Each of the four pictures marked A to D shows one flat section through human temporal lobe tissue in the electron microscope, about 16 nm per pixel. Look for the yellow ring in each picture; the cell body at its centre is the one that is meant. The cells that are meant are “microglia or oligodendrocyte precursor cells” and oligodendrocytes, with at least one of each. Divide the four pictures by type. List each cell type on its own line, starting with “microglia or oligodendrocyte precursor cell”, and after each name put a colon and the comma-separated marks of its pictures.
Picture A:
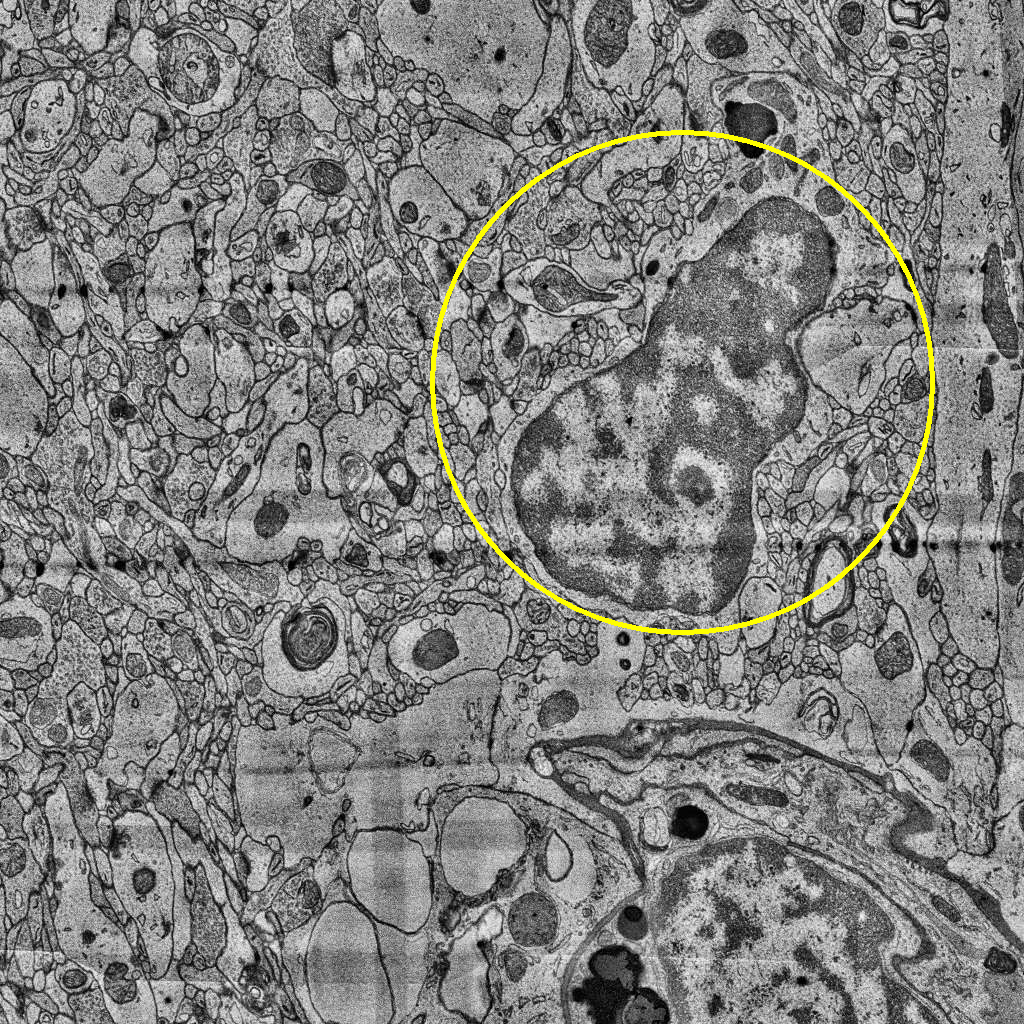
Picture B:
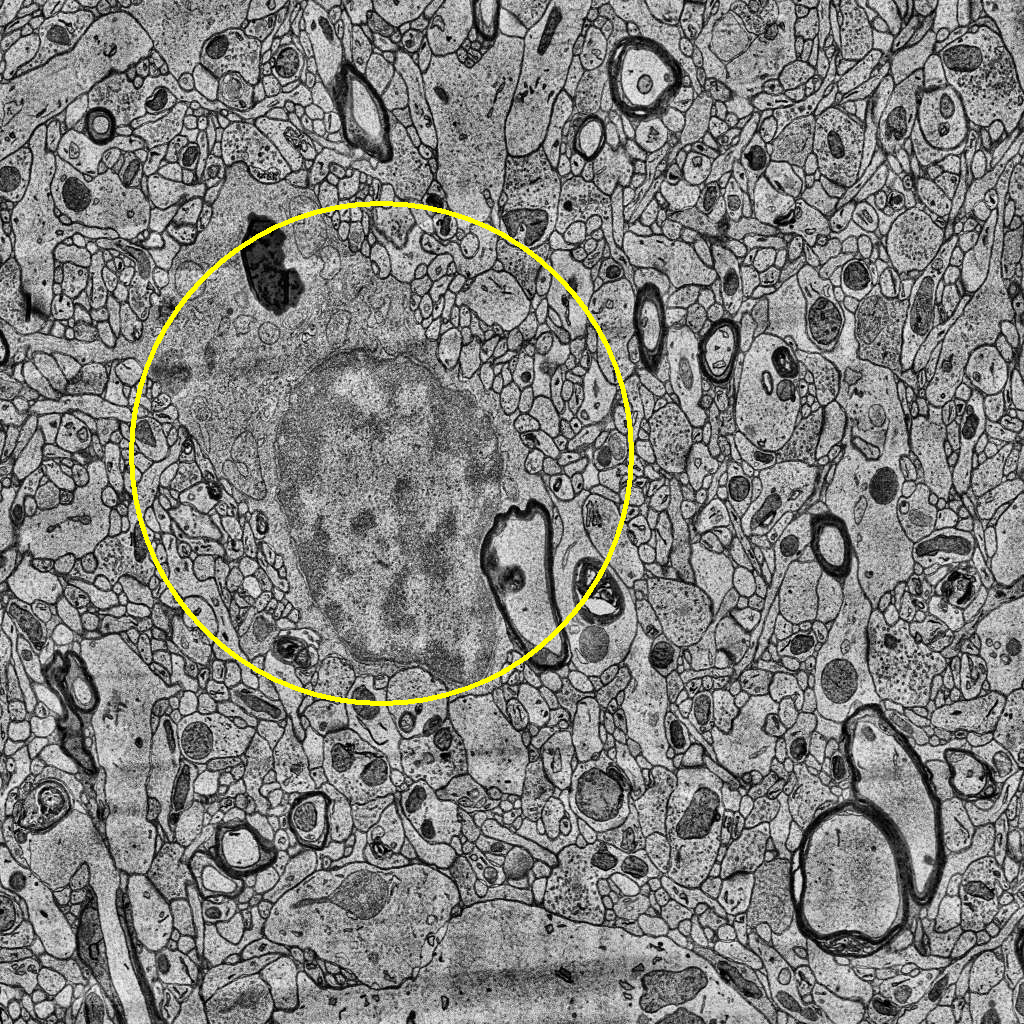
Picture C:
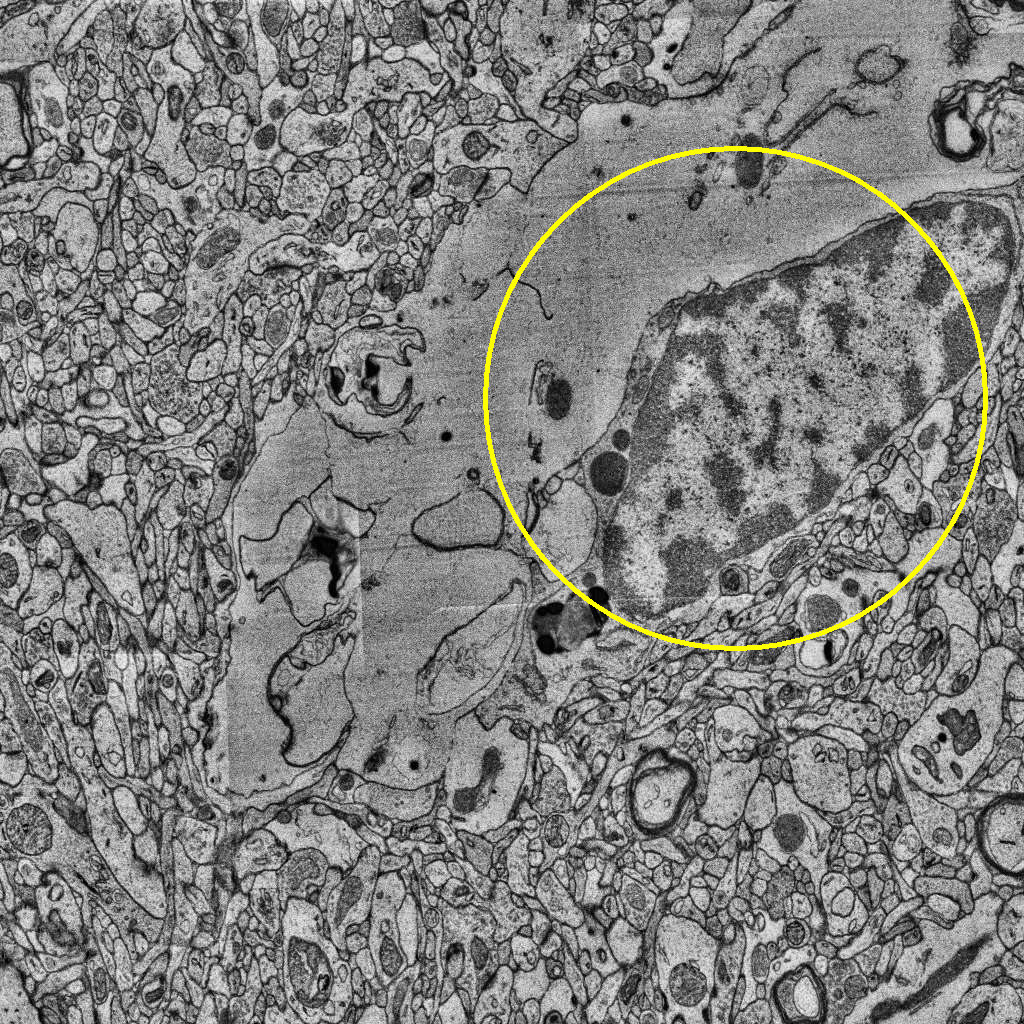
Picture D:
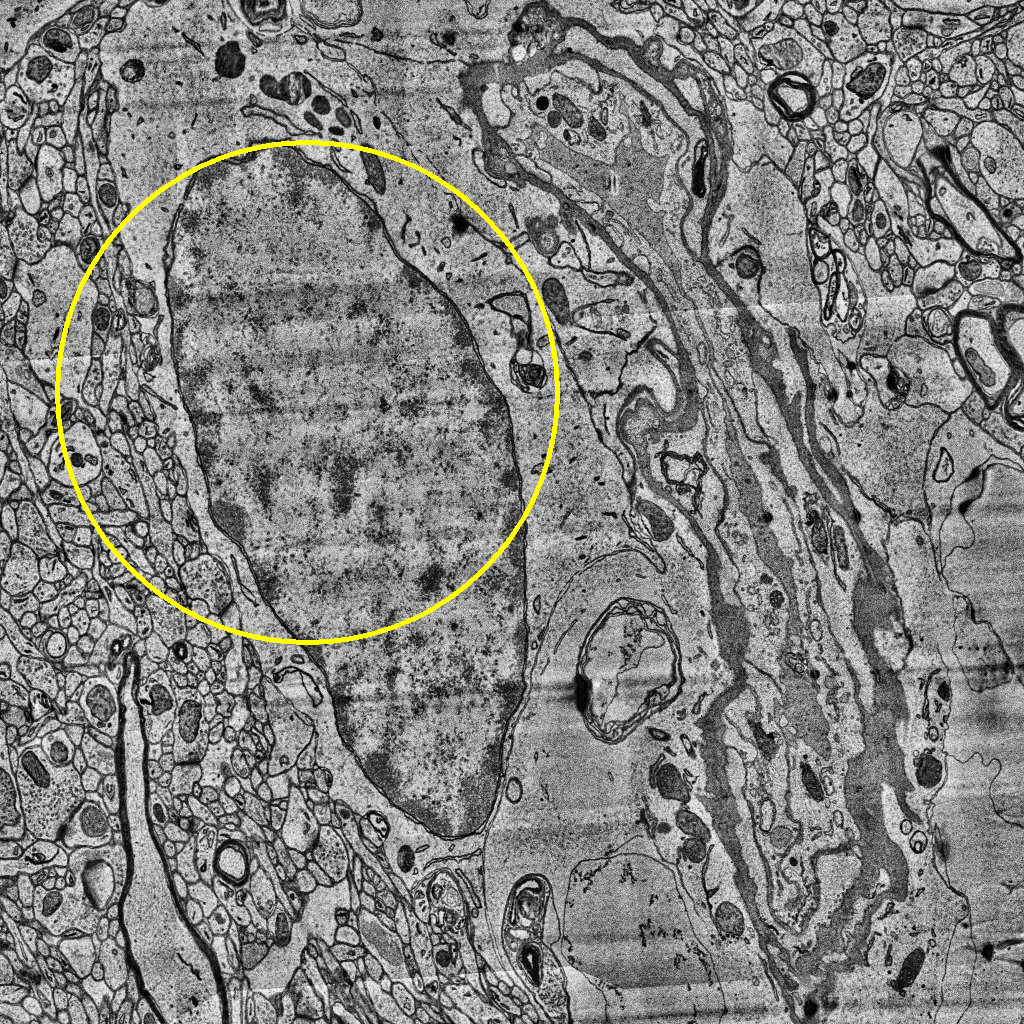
microglia or oligodendrocyte precursor cell: A, C, D
oligodendrocyte: B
